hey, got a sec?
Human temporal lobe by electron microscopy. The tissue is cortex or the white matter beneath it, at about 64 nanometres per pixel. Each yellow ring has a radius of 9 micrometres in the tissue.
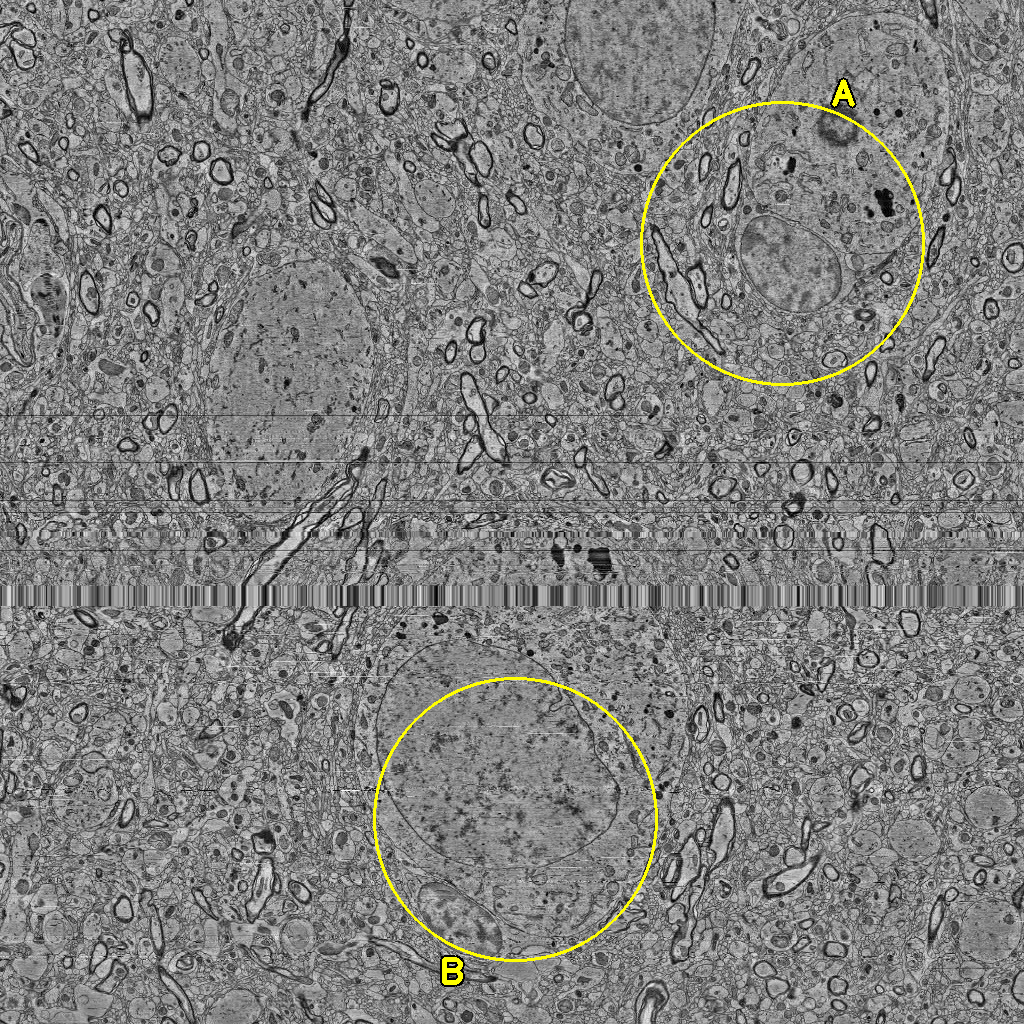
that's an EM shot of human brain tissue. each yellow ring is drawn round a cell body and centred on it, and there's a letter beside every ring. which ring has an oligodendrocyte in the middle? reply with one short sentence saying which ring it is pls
Ring A is the one centred on it.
